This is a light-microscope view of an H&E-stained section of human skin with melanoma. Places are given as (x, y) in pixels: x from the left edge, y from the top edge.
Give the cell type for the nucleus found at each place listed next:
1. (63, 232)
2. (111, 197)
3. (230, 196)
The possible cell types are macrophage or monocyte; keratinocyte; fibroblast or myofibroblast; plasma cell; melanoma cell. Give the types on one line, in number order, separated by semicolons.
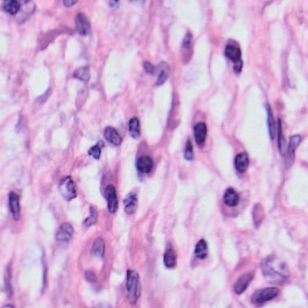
macrophage or monocyte; plasma cell; plasma cell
